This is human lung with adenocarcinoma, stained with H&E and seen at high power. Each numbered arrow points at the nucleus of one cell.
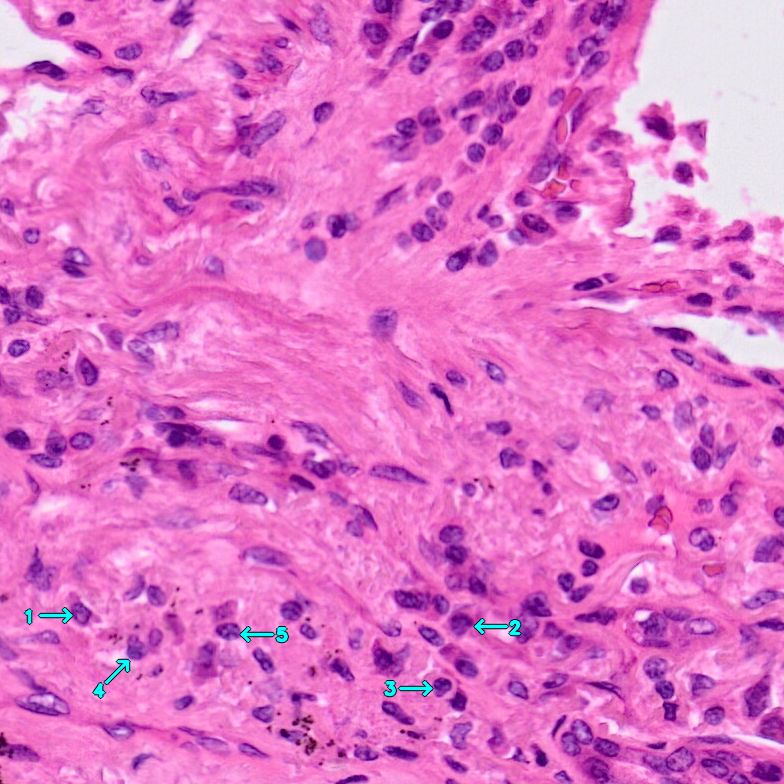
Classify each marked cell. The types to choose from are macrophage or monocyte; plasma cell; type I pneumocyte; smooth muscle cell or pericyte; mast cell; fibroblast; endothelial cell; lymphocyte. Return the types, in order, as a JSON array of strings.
["plasma cell", "plasma cell", "lymphocyte", "lymphocyte", "lymphocyte"]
